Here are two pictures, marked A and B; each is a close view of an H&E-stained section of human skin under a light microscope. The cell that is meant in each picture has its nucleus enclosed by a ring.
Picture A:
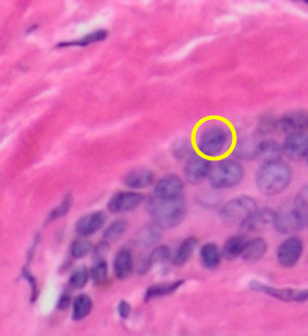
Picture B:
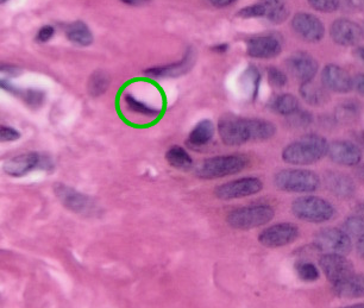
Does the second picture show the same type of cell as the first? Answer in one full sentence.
No; the cell in picture A is a basal keratinocyte, while the one in picture B is a fibroblast.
